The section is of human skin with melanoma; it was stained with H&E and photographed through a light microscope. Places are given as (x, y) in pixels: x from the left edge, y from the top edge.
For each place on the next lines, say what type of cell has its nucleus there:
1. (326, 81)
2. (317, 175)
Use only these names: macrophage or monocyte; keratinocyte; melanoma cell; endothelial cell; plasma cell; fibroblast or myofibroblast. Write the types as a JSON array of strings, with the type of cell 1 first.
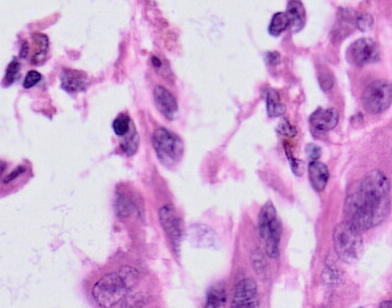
["melanoma cell", "macrophage or monocyte"]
